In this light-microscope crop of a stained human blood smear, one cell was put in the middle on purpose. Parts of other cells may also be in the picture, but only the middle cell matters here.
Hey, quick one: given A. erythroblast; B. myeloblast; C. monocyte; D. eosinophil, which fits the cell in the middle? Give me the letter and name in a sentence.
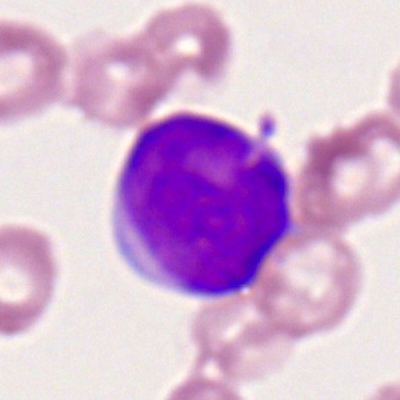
The correct response is option B, naming the cell in the middle as a myeloblast.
